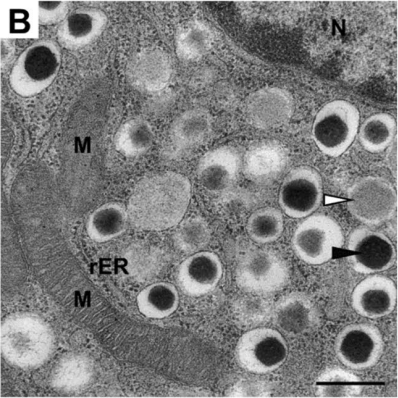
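This high-magnification electron micrograph shows the cytoplasm of a pancreatic beta-cell crowded with round membrane-bound secretory granules. Most granules have a dense black core set within a wide clear halo, the typical look of mature insulin granules. Other granules have a paler grey, evenly textured content without a distinct core, the look of immature granules. The edge of the nucleus with dark chromatin lies at the top.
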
